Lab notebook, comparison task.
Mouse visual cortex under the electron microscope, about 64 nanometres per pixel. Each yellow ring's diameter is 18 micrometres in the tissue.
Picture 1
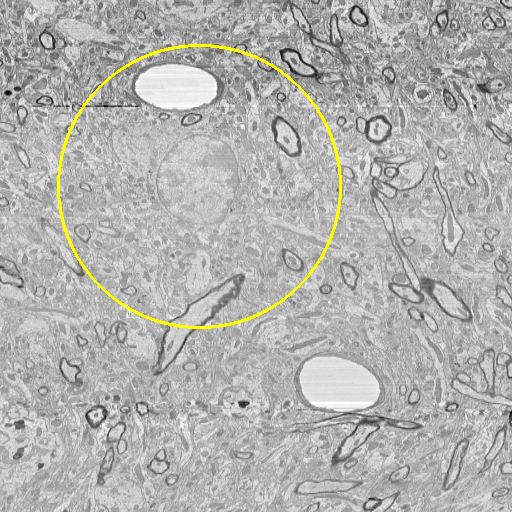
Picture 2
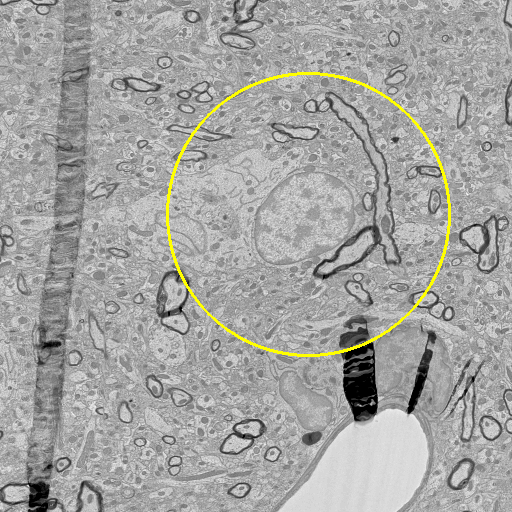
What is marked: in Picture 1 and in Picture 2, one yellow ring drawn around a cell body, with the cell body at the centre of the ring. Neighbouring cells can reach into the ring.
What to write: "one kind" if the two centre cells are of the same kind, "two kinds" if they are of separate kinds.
one kind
